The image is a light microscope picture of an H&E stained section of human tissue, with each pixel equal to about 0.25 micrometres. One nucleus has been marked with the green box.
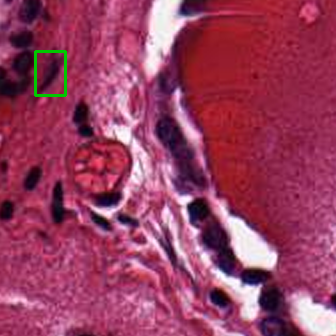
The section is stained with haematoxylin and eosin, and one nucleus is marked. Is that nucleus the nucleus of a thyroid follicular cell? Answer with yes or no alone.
no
